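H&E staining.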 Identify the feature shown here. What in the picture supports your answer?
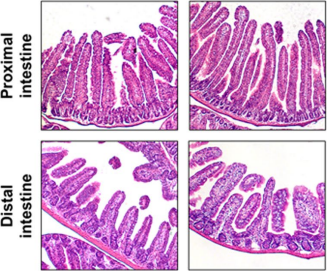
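Villi. Long finger-like projections rise from the mucosal surface. Each projection has a pink core covered by a single layer of epithelium with purple nuclei.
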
